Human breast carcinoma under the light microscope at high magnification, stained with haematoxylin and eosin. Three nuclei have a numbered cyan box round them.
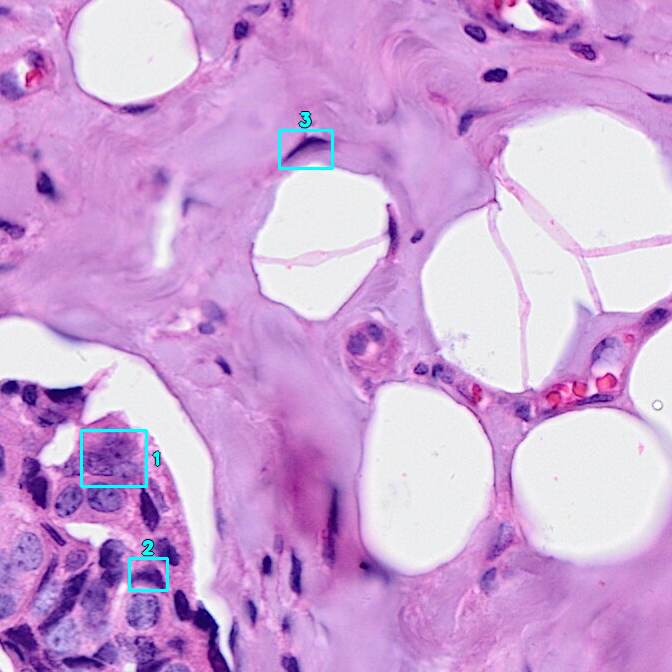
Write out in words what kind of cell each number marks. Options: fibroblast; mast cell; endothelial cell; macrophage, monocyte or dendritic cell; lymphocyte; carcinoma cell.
Cells 1 and 2 are carcinoma cells. Cell 3 is a fibroblast.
